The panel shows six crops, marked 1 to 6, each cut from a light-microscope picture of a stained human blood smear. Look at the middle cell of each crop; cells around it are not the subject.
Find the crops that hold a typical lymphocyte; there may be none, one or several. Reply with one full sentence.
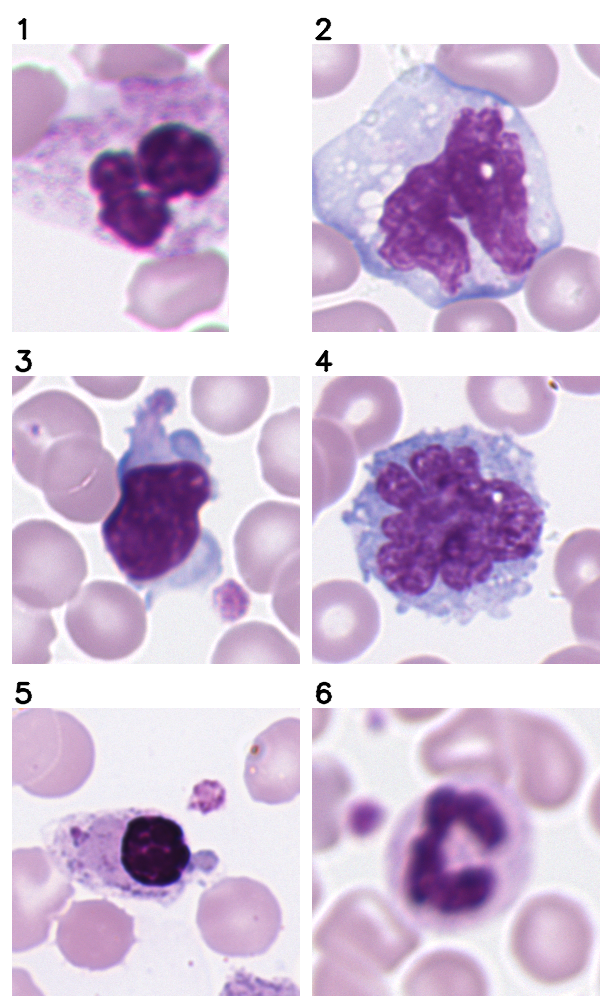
Crop 3 shows a typical lymphocyte, which no other crop here shows.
